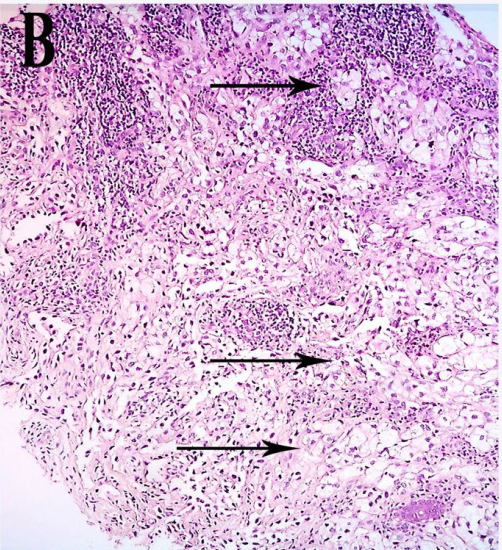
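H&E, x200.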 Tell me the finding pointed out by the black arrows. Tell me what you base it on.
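Foamy cell alteration. The arrows point to cells with abundant pale, bubbly, vacuolated cytoplasm. These pale cells form broad sheets across the panel.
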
